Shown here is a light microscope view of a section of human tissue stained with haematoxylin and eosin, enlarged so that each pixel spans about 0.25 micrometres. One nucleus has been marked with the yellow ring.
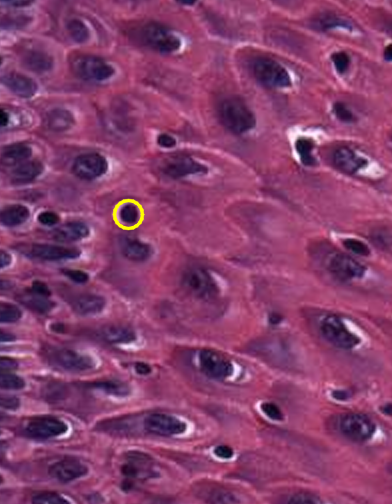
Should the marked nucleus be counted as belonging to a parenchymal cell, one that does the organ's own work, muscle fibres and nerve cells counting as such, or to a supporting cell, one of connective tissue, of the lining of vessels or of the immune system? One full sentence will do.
It is a supporting cell to which the marked nucleus belongs.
